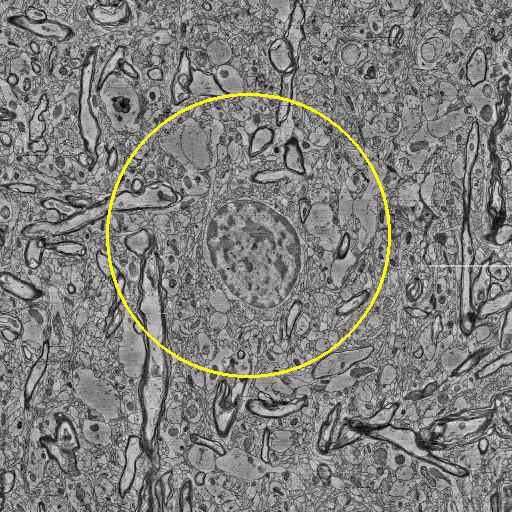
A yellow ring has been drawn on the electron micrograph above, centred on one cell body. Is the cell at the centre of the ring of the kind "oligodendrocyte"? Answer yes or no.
no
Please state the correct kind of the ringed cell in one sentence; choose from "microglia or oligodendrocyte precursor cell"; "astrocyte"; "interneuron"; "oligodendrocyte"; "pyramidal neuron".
Instead, the ring surrounds a microglial cell or oligodendrocyte precursor cell in this picture.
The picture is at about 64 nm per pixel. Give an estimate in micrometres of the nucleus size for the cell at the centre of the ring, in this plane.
In this plane, the nucleus of the cell at the centre of the ring measures about 7 by 6 micrometres.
